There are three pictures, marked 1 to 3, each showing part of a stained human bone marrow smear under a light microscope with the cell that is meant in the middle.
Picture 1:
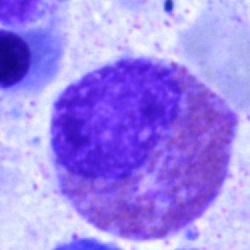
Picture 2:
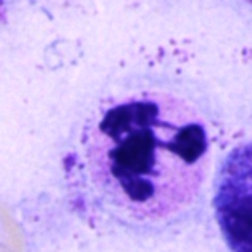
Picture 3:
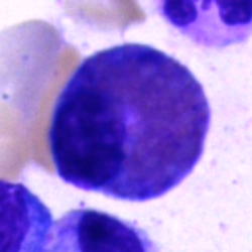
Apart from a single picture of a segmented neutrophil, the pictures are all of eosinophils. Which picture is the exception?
2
